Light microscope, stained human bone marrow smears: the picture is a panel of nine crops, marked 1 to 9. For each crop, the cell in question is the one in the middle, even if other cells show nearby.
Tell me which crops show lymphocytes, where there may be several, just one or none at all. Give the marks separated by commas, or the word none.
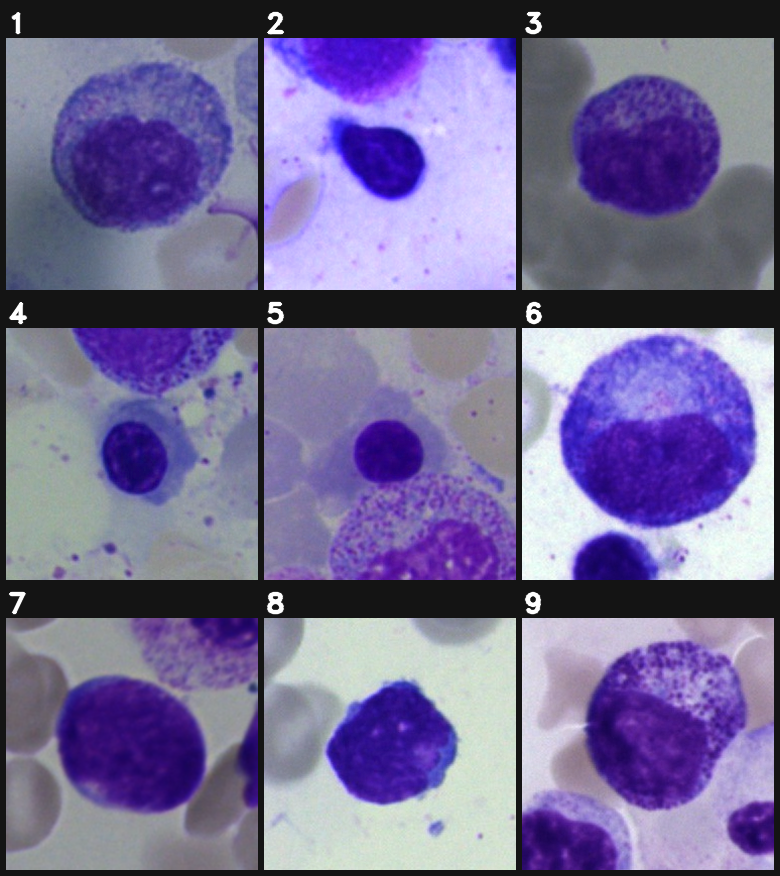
2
